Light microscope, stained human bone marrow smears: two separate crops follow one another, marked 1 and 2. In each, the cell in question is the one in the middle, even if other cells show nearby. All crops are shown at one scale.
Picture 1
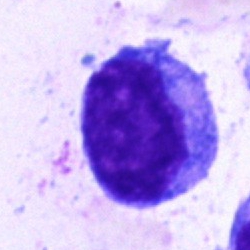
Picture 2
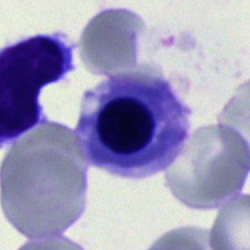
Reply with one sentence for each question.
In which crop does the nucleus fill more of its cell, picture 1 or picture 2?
It is the cell in picture 1 that is filled more by its nucleus.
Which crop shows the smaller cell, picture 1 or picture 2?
Picture 2 holds the smaller cell, since the cell in picture 1 covers about 2 times as much area.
